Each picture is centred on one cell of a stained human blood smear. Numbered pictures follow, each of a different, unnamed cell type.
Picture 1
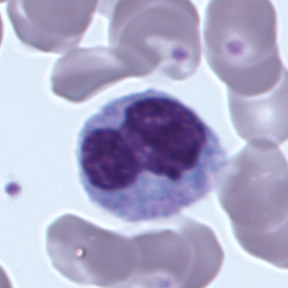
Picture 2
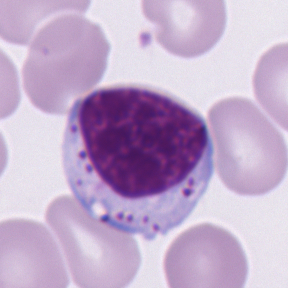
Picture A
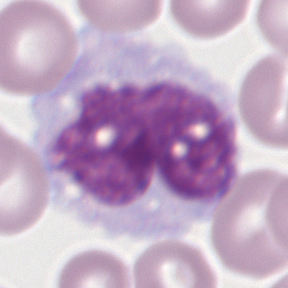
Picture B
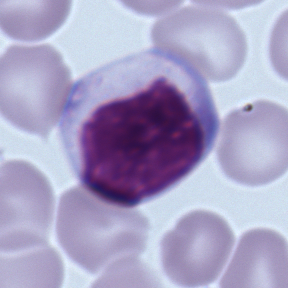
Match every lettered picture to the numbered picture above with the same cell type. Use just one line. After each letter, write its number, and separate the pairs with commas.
A 1, B 2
